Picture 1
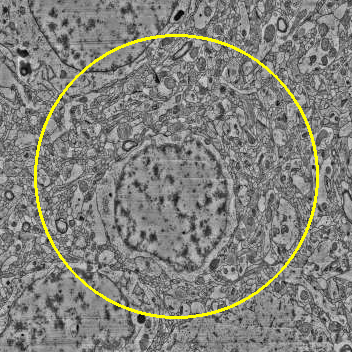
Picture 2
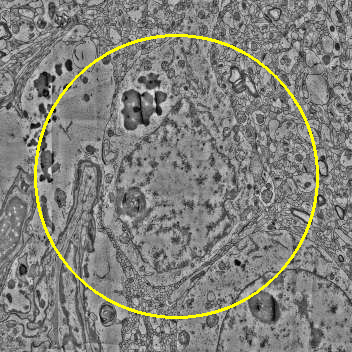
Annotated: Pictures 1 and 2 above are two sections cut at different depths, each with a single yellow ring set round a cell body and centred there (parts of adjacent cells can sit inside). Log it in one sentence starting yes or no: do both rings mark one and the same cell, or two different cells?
No, these two rings belong to two distinct cells.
